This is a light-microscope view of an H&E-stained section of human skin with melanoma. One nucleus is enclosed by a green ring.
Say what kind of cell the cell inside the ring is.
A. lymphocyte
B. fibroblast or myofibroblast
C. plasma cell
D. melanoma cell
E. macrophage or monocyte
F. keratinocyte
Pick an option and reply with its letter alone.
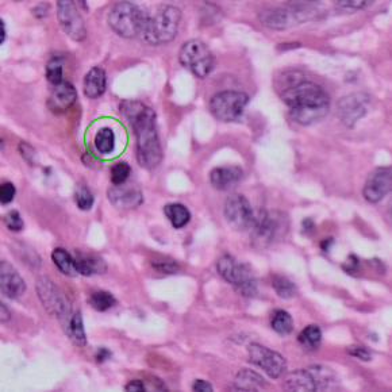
A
